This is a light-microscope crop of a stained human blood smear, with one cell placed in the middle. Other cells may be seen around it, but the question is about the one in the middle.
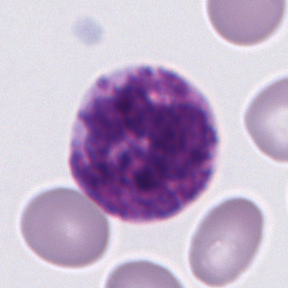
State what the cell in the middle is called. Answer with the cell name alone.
basophil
